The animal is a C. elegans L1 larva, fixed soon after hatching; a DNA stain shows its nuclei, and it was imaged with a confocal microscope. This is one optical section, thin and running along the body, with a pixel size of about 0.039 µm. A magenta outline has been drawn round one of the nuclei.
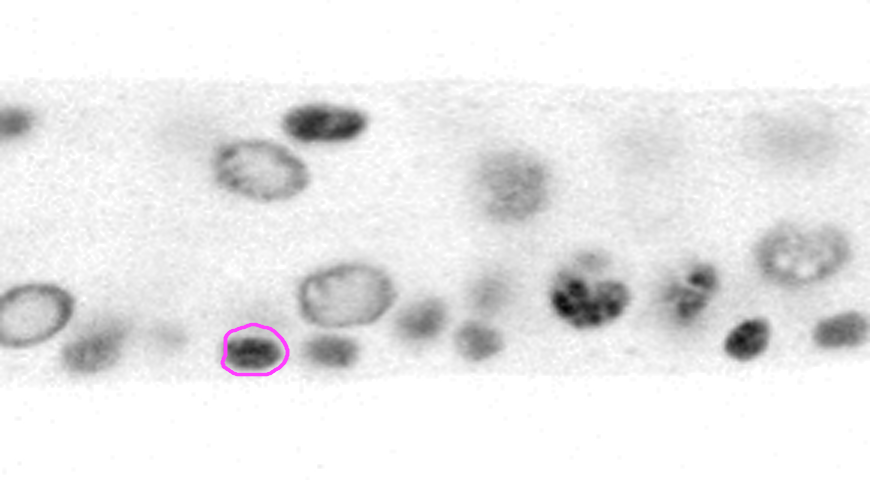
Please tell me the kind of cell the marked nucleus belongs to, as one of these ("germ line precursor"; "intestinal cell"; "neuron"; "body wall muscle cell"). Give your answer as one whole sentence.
It is the nucleus of a neuron.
